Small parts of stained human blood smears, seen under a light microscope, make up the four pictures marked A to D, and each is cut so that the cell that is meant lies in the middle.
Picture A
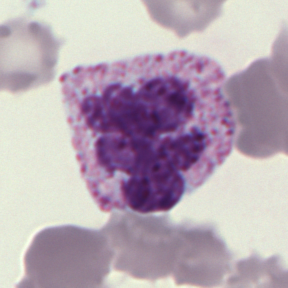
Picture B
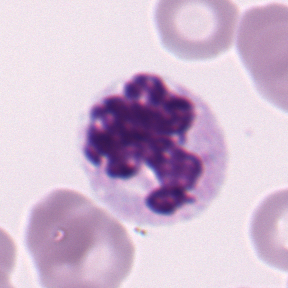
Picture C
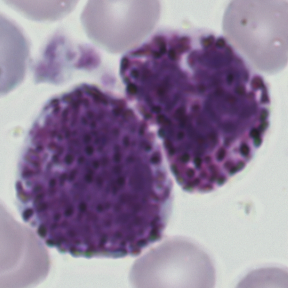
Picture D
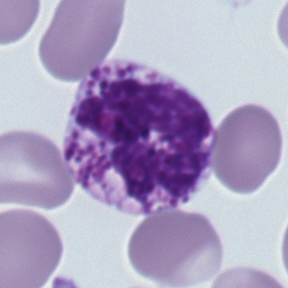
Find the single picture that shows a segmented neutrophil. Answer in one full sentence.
Picture B is the one that shows the segmented neutrophil.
